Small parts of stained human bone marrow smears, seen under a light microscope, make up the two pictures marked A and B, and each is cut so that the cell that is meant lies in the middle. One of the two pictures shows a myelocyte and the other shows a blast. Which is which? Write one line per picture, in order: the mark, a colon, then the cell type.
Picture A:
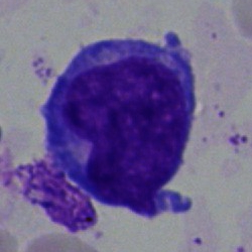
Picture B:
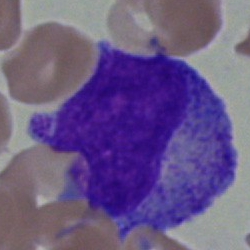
A: blast
B: myelocyte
